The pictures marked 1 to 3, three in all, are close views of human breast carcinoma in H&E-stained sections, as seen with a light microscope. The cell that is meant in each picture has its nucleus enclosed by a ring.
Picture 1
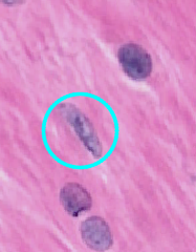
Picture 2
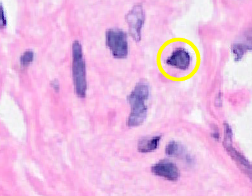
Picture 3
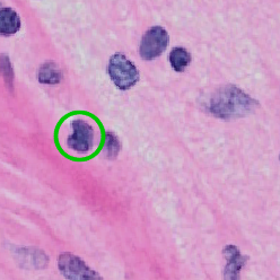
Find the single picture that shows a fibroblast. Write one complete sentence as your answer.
The cell in picture 1 is the fibroblast.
